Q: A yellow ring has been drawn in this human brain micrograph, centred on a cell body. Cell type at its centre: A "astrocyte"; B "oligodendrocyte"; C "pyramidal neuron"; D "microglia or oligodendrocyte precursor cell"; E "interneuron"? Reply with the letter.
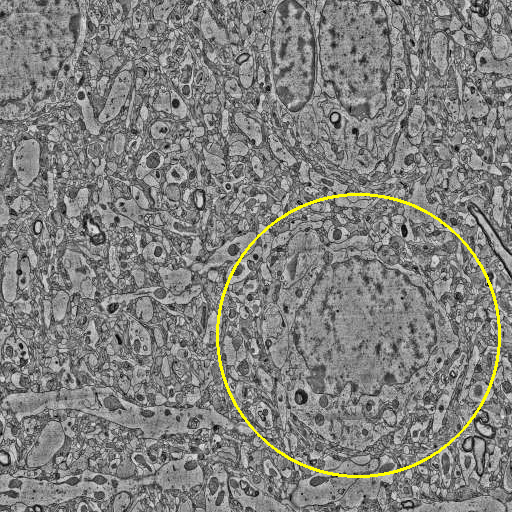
E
